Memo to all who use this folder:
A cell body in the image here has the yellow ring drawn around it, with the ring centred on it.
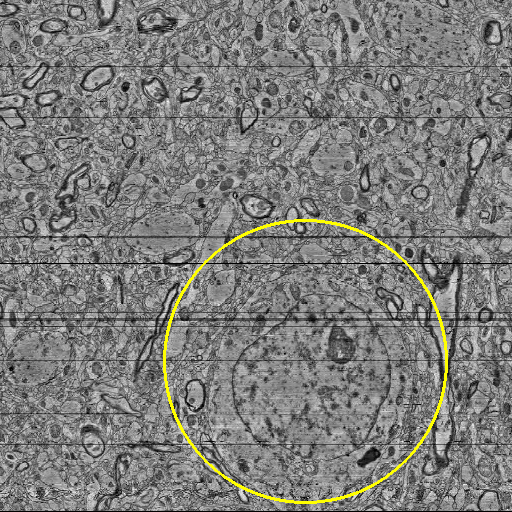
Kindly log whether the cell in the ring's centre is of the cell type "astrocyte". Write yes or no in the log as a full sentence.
No, logged: the ring in this image is centred on a cell of a different type.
